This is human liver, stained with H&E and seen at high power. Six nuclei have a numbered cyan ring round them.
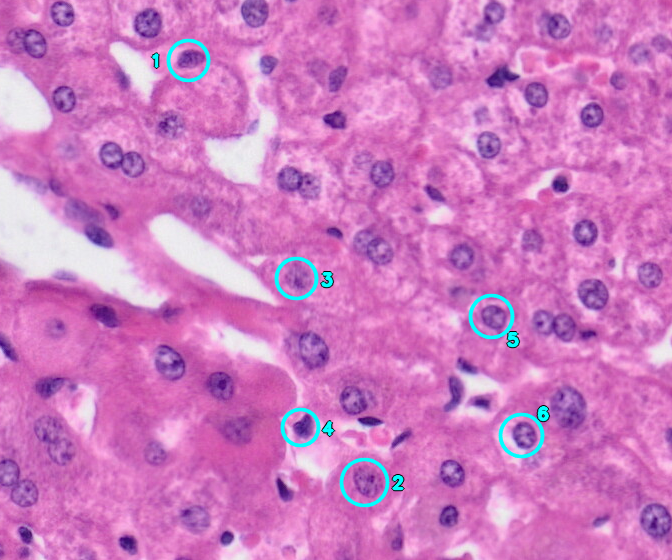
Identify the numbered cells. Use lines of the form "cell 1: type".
cell 1: endothelial cell
cell 2: hepatocyte
cell 3: hepatocyte
cell 4: fibroblast or stellate cell
cell 5: hepatocyte
cell 6: hepatocyte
